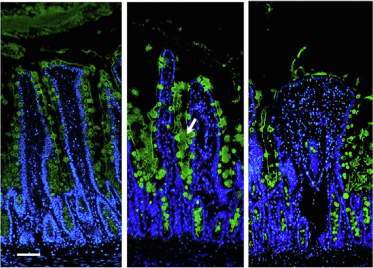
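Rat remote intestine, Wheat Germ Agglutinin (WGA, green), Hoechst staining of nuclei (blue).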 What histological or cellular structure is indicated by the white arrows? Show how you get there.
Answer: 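The arrows point to green material lying in the spaces between villi. The same green colour fills many cells along the villus epithelium.
Conclusion: mucus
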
